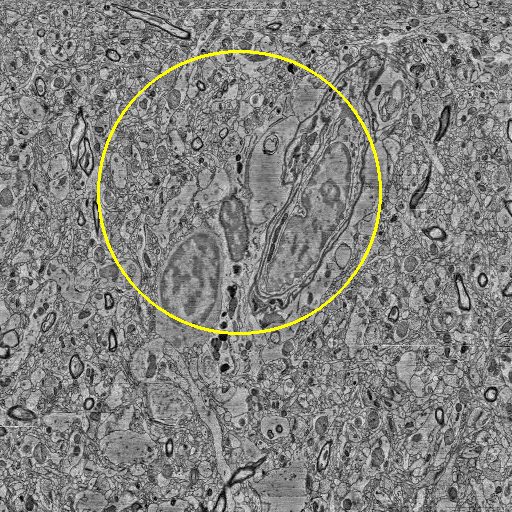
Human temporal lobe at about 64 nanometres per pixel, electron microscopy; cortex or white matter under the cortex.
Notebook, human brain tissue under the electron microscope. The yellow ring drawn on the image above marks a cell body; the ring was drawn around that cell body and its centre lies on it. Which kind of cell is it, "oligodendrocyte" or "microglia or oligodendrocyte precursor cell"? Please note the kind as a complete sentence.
The marked cell body is that of a microglial cell or oligodendrocyte precursor cell.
